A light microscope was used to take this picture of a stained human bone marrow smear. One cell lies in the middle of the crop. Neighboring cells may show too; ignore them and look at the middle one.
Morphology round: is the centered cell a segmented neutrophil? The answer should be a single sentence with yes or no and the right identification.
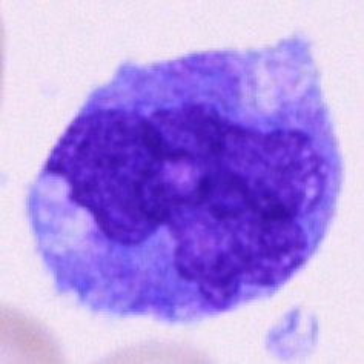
No, what occupies the middle of the crop is a monocyte and not a segmented neutrophil.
